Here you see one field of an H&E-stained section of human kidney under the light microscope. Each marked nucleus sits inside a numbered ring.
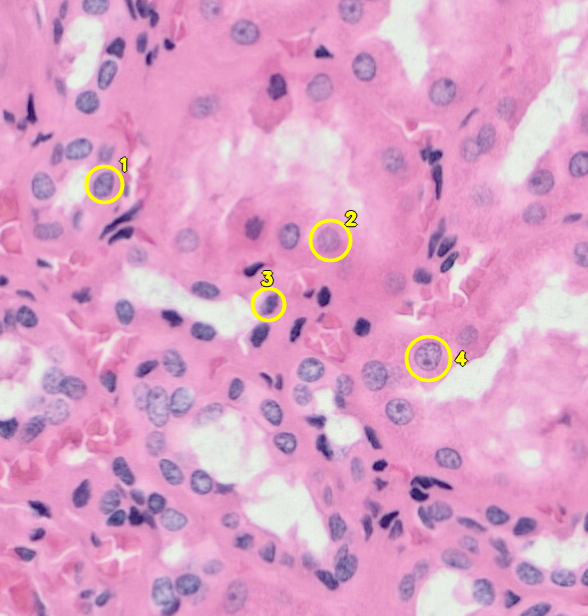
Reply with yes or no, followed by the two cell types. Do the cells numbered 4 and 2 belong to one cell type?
Yes, both are proximal tubule cells.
